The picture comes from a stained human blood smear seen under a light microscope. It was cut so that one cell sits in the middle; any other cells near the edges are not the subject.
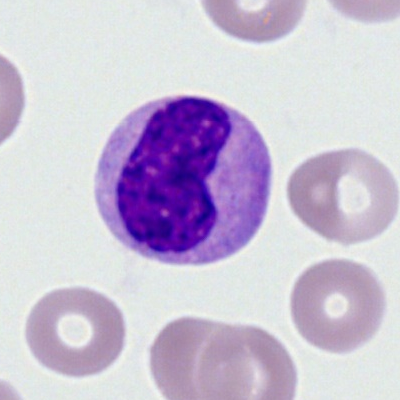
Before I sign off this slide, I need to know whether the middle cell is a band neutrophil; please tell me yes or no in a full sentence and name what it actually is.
Yes, the cell at the centre of this crop is identified as a band neutrophil.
